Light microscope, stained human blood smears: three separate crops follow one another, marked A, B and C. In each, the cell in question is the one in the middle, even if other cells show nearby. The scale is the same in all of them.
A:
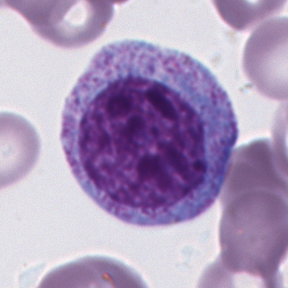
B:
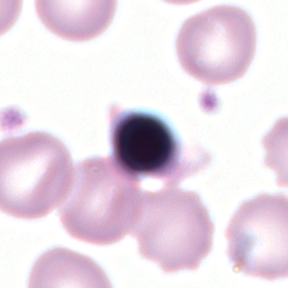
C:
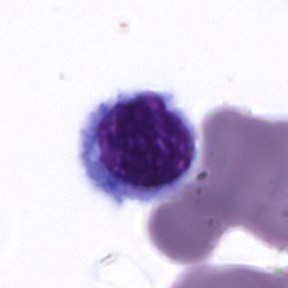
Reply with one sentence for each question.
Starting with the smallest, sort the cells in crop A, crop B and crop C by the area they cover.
The order is B, C, A, beginning with the smallest.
